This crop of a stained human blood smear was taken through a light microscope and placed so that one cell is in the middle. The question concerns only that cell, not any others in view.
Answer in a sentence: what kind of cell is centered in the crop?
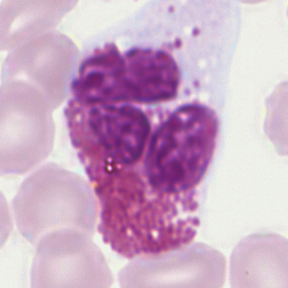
In the middle of this smear crop, the cell is an eosinophil.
